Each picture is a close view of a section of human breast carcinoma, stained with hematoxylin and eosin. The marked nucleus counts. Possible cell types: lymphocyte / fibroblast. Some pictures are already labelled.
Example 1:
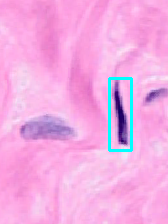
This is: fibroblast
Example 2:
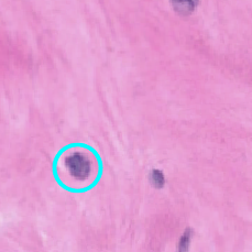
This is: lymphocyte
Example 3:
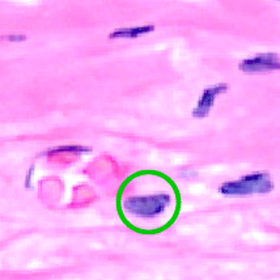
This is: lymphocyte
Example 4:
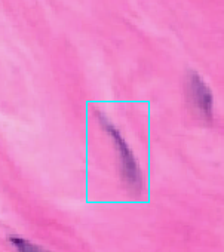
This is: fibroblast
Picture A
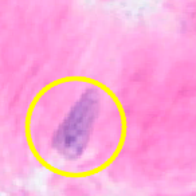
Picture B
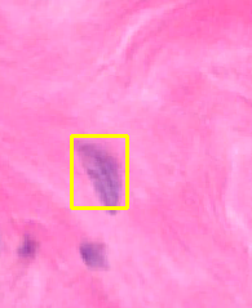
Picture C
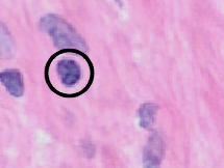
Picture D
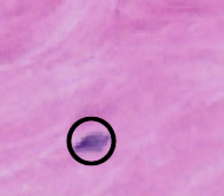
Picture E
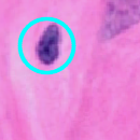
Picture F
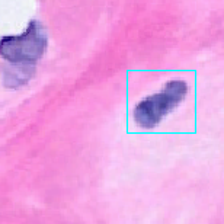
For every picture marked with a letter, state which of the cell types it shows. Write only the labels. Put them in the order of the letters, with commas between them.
fibroblast, fibroblast, lymphocyte, fibroblast, lymphocyte, lymphocyte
